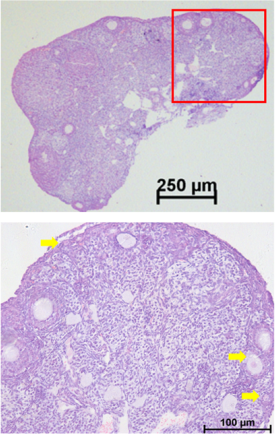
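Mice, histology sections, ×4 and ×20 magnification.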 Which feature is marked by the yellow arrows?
Primordial, primary, or secondary follicles.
